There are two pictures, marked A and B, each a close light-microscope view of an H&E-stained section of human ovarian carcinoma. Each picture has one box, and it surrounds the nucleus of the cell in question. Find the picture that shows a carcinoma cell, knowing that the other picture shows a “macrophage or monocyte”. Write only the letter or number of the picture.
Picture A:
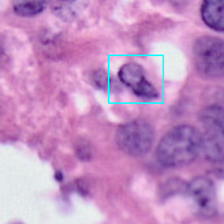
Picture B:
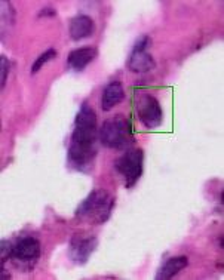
B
